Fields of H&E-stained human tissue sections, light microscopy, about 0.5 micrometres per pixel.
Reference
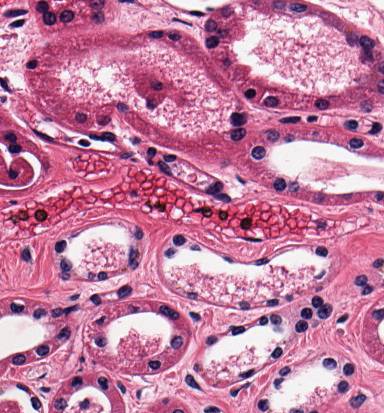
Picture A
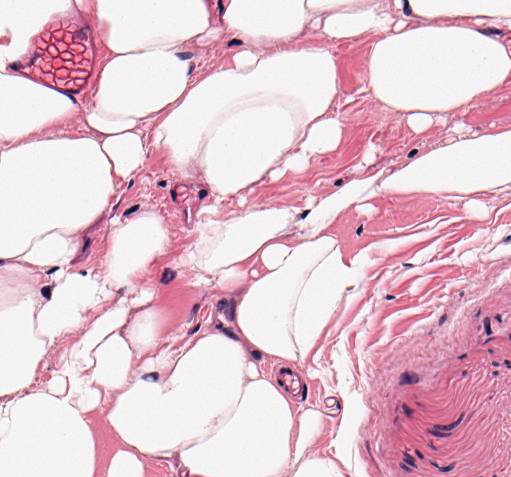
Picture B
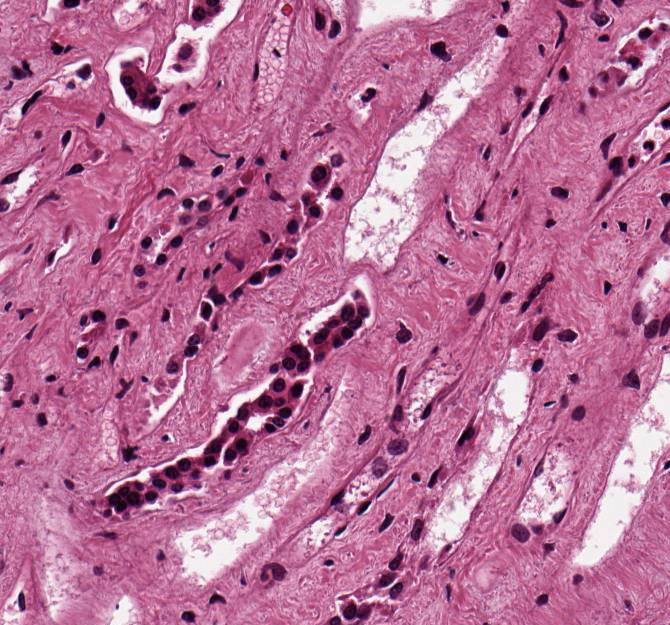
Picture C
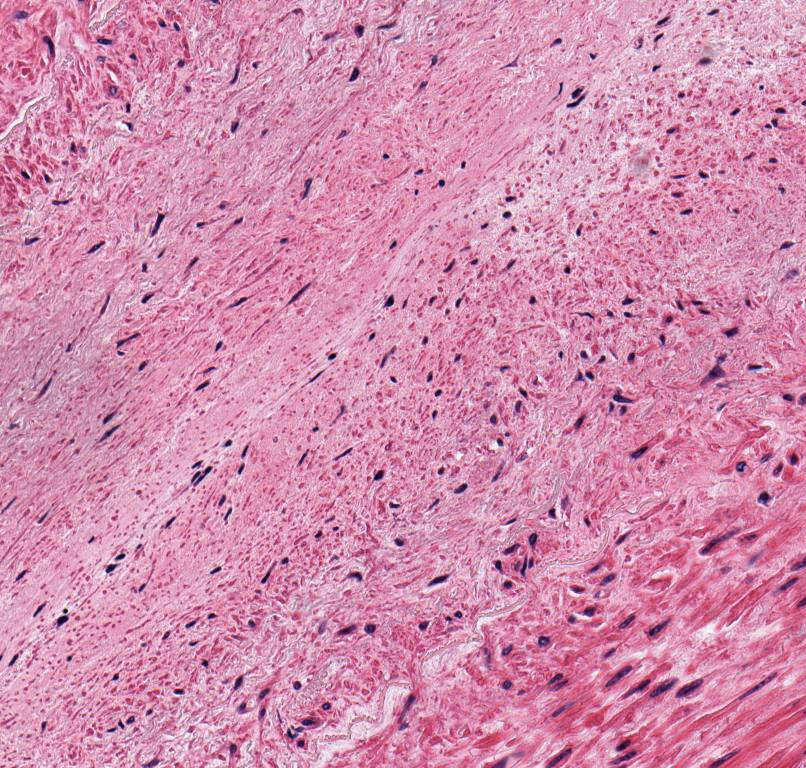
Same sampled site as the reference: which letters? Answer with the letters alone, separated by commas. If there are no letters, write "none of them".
B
